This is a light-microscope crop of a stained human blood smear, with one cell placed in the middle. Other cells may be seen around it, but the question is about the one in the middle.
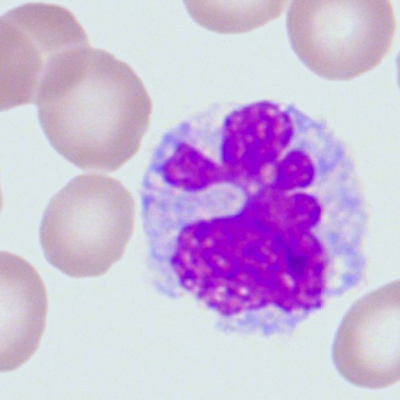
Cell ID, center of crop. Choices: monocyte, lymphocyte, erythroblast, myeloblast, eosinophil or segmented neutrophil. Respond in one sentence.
The cell nearest the centre of this crop is a monocyte.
